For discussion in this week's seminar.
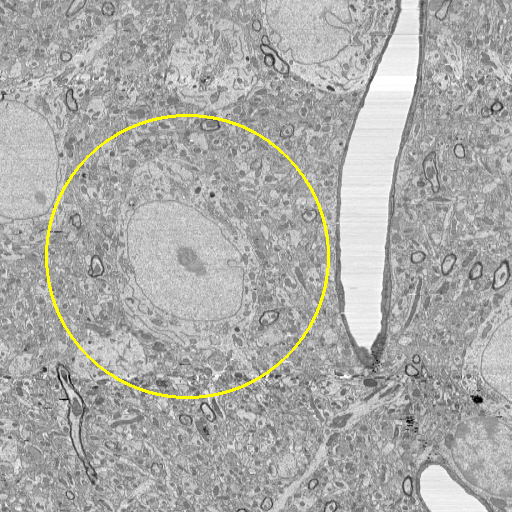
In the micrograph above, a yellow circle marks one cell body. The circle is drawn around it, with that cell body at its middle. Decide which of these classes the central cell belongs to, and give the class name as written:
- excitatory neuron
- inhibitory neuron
excitatory neuron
